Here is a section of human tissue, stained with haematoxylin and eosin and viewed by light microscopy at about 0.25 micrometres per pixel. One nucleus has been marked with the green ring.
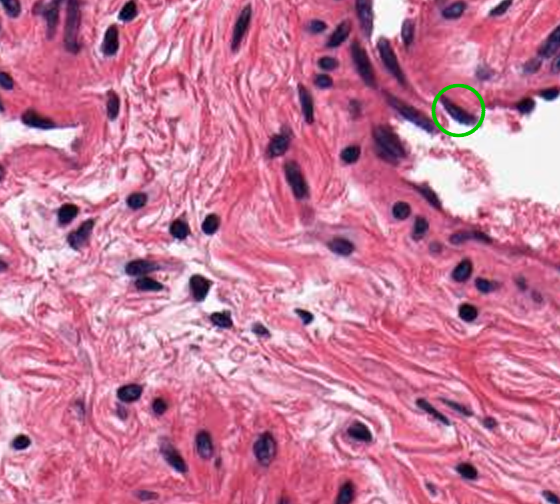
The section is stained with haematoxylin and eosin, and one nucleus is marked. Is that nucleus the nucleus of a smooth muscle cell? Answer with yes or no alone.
no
